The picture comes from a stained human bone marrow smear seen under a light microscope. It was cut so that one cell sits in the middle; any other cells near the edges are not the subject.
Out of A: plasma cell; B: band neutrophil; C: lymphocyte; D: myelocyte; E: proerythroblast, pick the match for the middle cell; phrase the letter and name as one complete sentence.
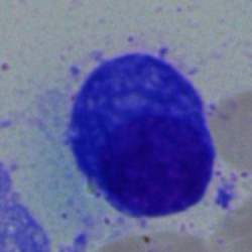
What sits in the middle of the crop is a plasma cell, and option A is correct.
